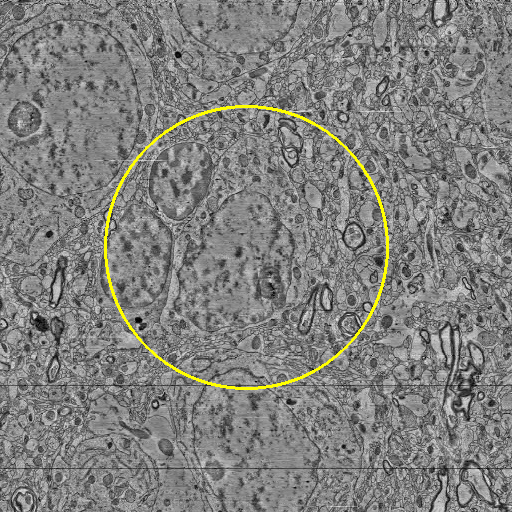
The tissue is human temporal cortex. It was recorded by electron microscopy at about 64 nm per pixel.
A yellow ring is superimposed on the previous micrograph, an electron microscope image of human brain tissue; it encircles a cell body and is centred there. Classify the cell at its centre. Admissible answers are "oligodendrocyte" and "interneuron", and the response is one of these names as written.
interneuron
